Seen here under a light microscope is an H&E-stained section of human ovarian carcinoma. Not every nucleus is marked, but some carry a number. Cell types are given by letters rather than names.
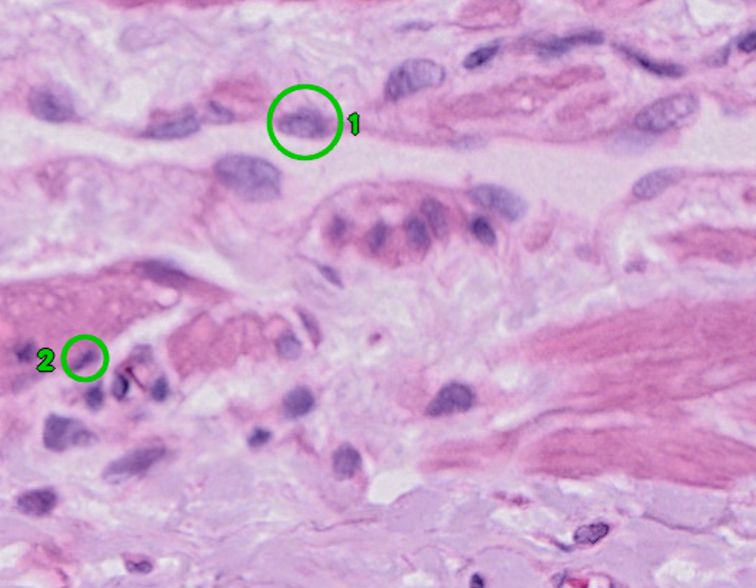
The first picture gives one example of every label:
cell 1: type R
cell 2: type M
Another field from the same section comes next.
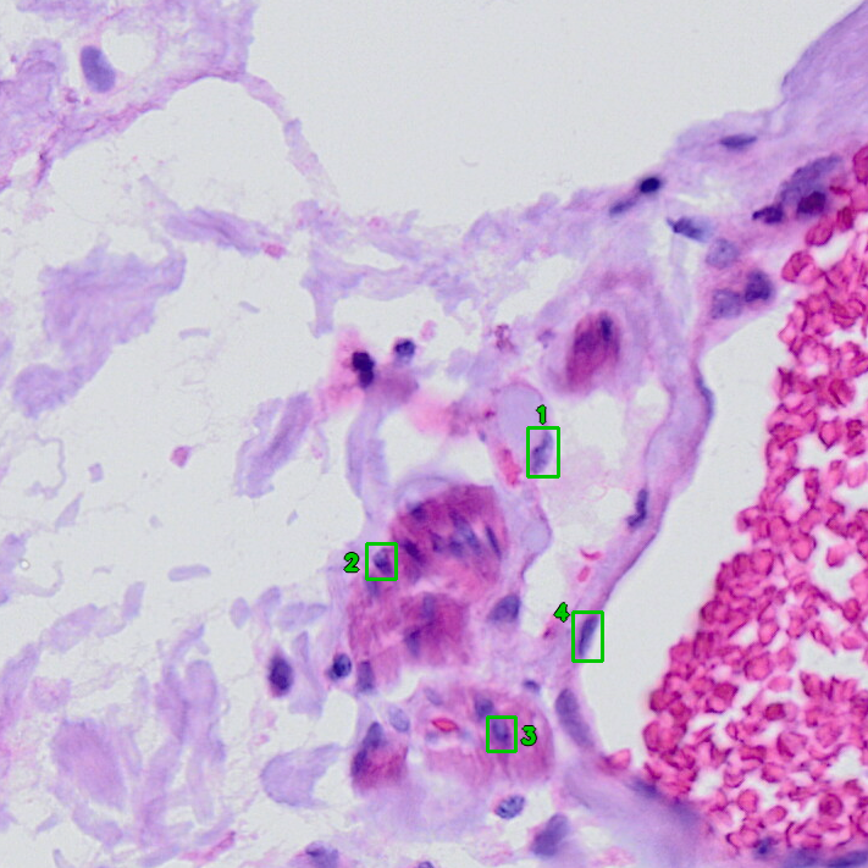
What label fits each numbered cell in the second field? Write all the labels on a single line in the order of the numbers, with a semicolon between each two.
type R; type M; type M; type R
